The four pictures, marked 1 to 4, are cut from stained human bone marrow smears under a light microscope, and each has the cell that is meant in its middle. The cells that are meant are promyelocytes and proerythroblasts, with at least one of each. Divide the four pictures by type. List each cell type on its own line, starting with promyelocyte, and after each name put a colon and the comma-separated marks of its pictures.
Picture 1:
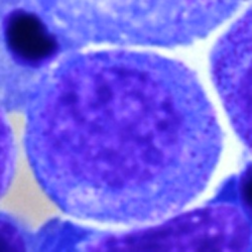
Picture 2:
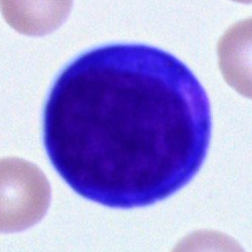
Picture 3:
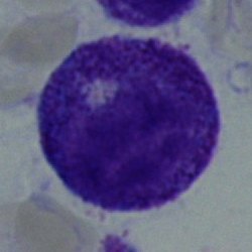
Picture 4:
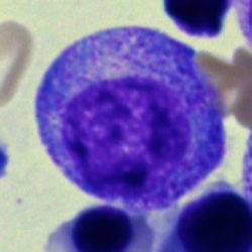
promyelocyte: 1, 3, 4
proerythroblast: 2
